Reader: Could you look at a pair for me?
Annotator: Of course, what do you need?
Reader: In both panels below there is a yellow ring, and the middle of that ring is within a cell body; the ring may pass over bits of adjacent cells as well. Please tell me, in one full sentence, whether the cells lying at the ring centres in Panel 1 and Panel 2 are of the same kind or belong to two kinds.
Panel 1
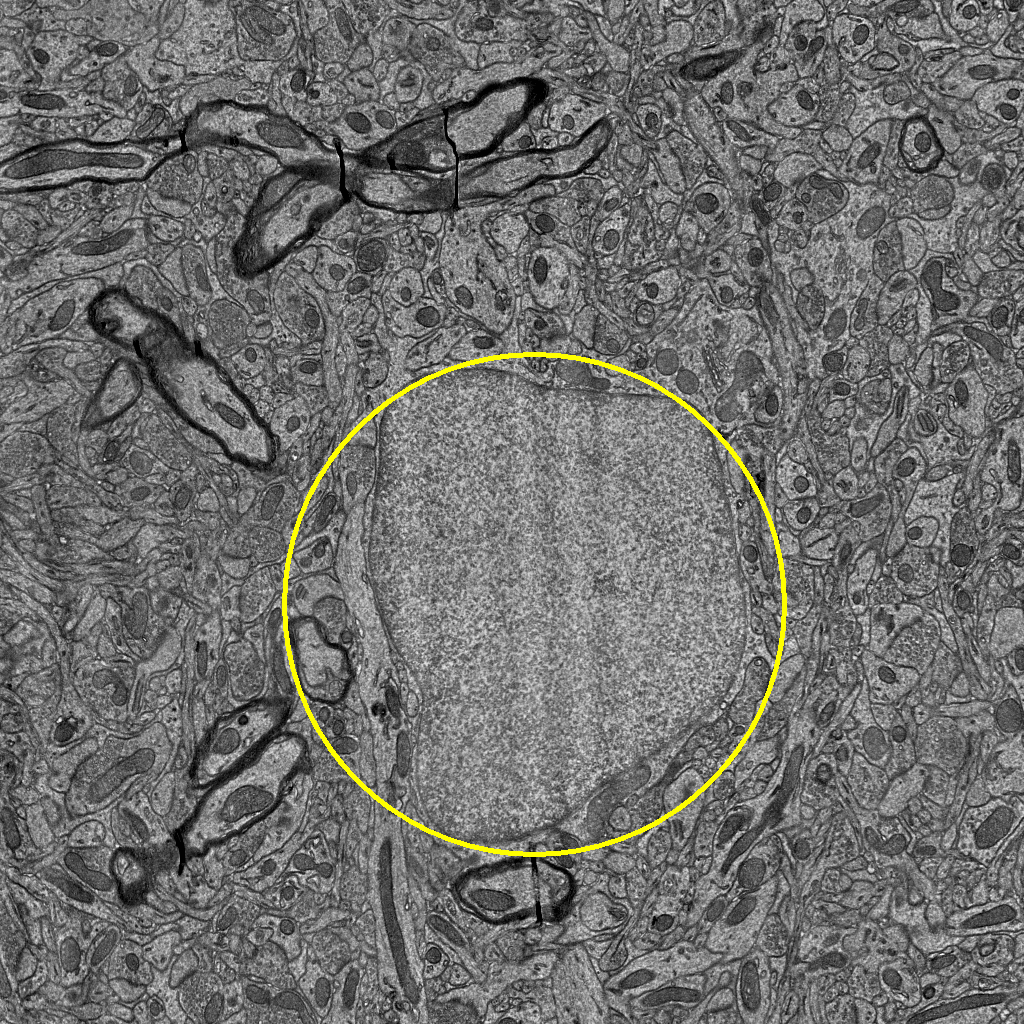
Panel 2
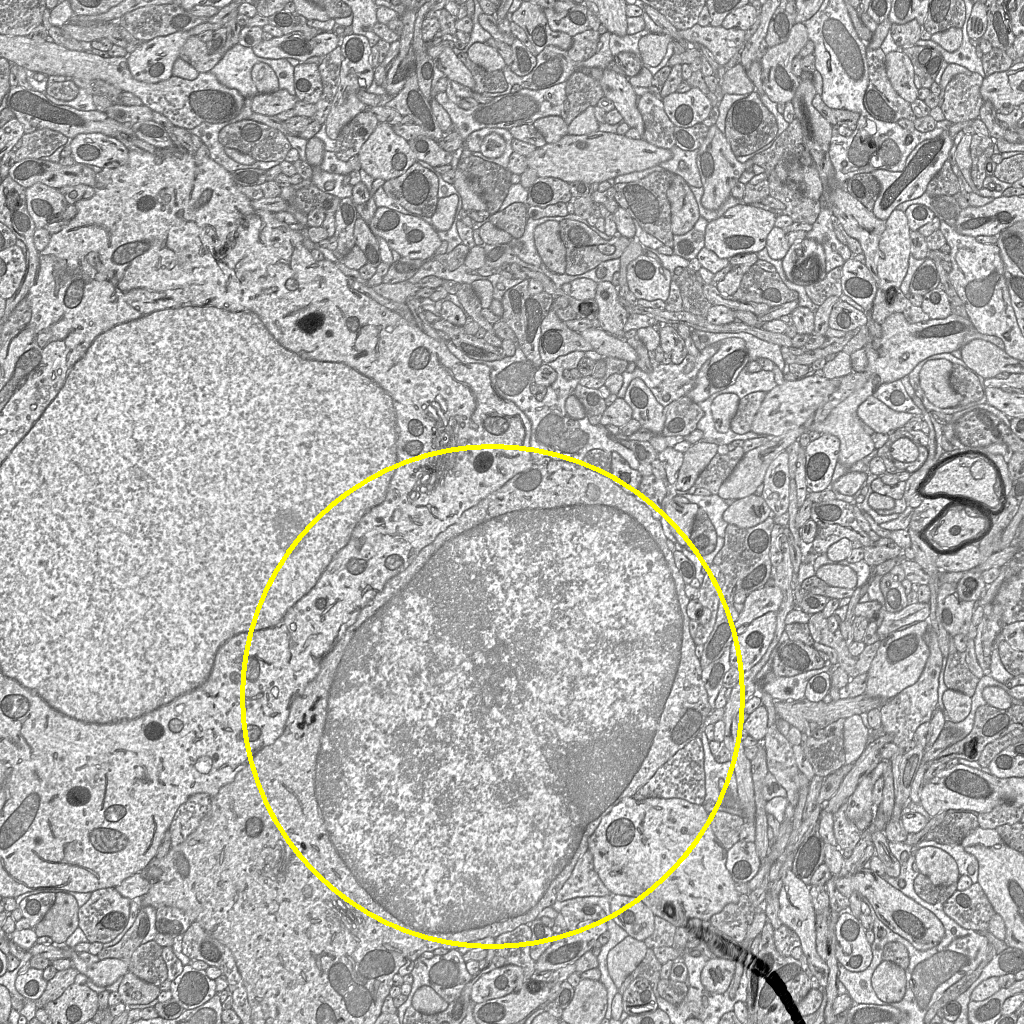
The cell at the ring's centre in Panel 1 and the one in Panel 2 belong to two kinds.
